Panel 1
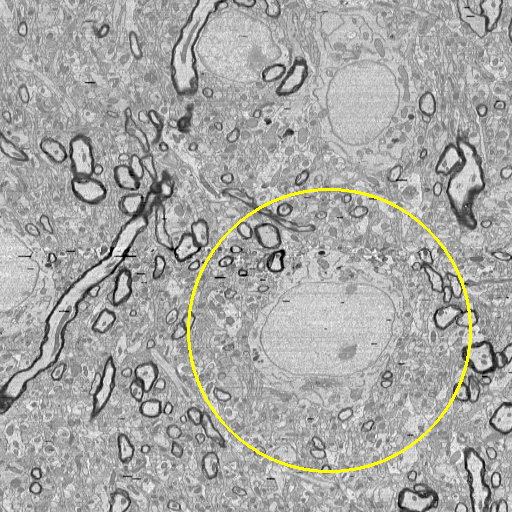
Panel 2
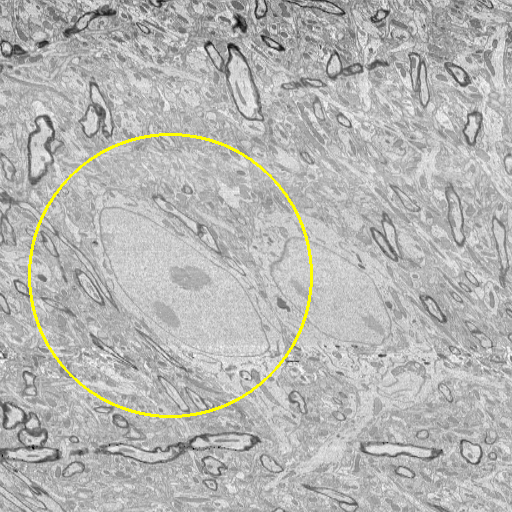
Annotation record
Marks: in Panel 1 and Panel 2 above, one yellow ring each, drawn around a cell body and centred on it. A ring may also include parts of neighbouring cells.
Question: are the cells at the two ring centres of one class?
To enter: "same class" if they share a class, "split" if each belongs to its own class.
same class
